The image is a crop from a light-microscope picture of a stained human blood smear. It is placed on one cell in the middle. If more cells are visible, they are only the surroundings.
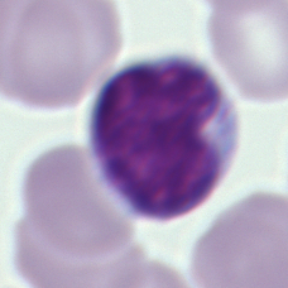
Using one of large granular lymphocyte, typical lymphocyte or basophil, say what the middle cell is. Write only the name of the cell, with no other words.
typical lymphocyte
